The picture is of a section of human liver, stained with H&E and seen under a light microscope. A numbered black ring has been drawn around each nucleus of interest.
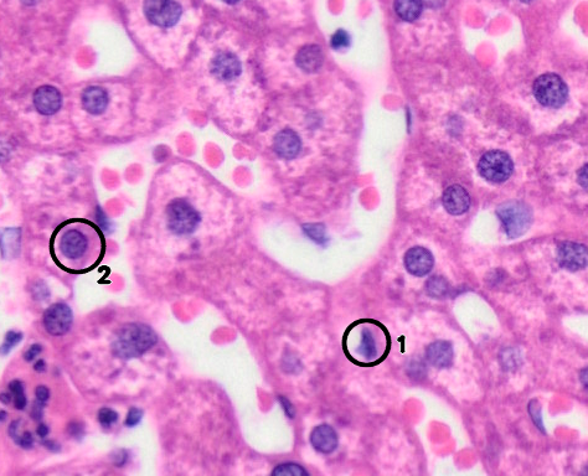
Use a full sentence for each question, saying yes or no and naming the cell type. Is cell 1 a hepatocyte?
No, it is not a hepatocyte that bears number 1 but an endothelial cell.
